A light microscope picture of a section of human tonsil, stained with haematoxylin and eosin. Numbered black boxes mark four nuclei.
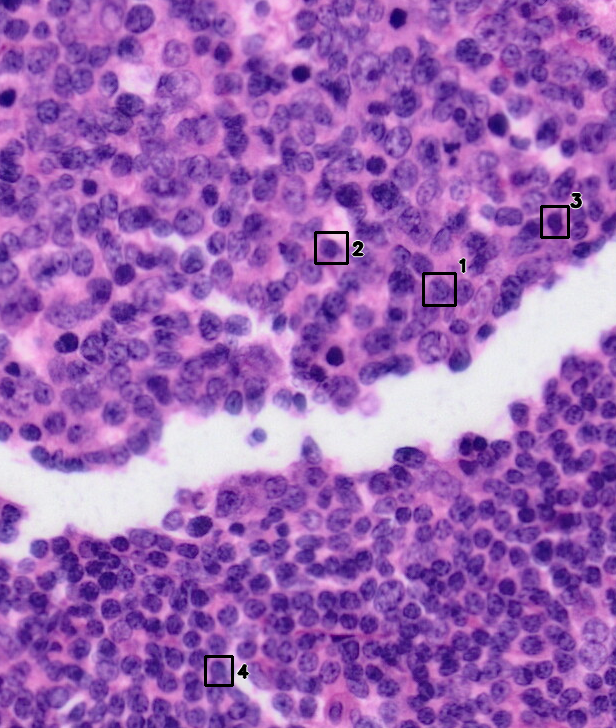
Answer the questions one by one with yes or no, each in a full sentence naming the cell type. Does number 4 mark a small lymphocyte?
Yes, the marked cell with number 4 is a small lymphocyte.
